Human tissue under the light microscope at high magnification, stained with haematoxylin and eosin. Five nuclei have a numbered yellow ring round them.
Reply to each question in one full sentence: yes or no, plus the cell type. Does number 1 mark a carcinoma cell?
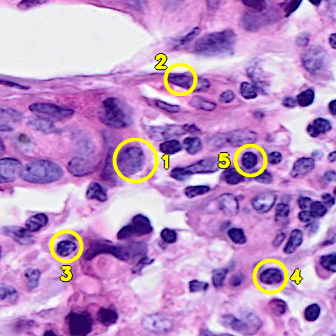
Yes, that is so; number 1 marks a carcinoma cell.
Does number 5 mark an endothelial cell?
No, cell 5 is not an endothelial cell; a lymphocyte is correct.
